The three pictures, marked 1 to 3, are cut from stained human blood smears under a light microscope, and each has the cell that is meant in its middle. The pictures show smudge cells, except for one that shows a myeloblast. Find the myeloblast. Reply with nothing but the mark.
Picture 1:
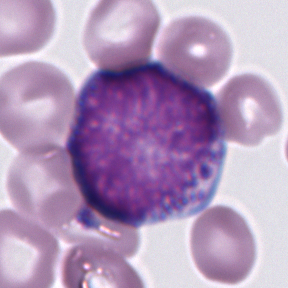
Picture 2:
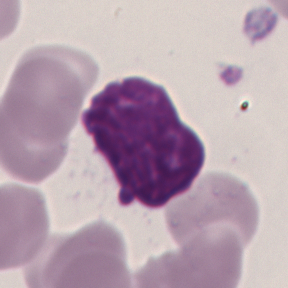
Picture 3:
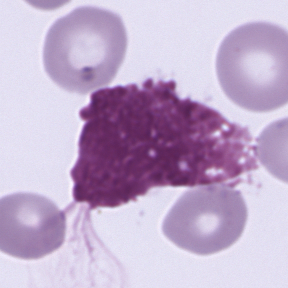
1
